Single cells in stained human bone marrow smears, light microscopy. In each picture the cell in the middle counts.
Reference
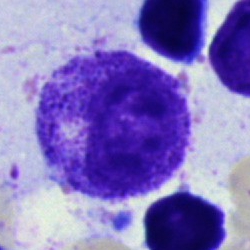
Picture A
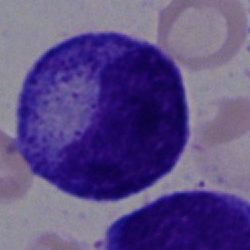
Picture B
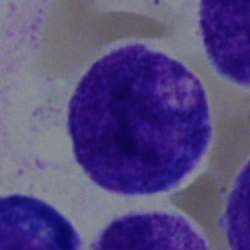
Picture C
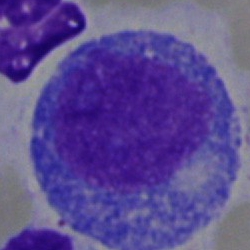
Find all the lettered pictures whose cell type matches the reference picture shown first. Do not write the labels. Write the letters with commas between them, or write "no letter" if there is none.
A, B, C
